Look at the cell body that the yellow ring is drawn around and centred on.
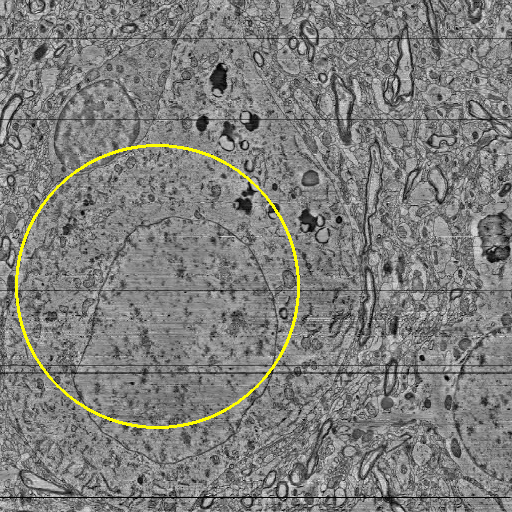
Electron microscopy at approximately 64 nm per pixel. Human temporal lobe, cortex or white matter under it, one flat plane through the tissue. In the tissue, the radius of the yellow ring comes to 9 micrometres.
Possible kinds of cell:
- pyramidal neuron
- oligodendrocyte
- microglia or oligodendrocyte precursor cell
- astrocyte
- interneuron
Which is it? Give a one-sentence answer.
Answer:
The centred cell body is that of a pyramidal neuron.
